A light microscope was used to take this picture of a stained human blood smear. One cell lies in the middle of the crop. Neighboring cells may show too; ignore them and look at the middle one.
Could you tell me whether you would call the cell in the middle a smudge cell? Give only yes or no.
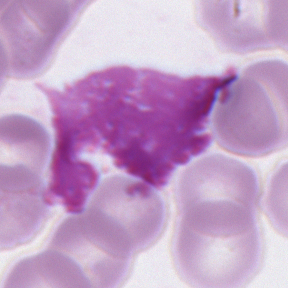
yes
